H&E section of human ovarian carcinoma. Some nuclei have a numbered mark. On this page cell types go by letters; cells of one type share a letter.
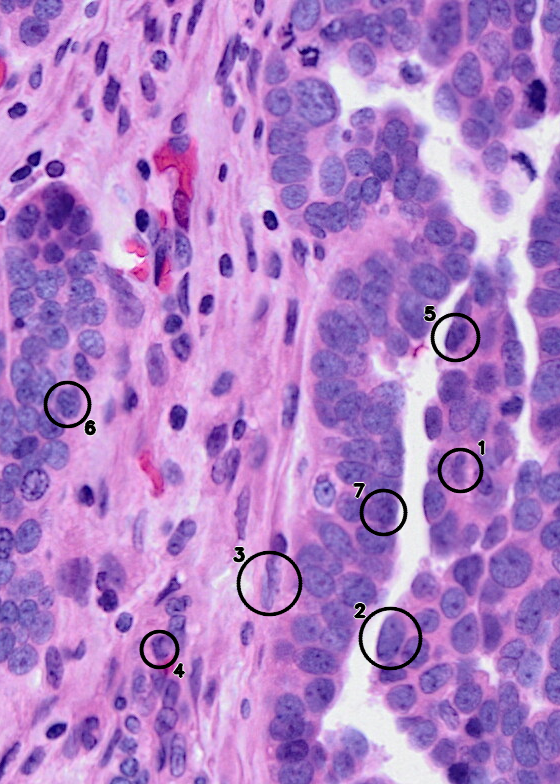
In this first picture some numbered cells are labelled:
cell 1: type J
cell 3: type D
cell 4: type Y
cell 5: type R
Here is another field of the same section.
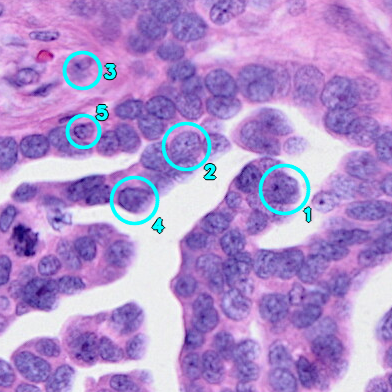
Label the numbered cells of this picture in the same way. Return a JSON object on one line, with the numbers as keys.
{"1": "type R", "2": "type R", "3": "type D", "4": "type R", "5": "type J"}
